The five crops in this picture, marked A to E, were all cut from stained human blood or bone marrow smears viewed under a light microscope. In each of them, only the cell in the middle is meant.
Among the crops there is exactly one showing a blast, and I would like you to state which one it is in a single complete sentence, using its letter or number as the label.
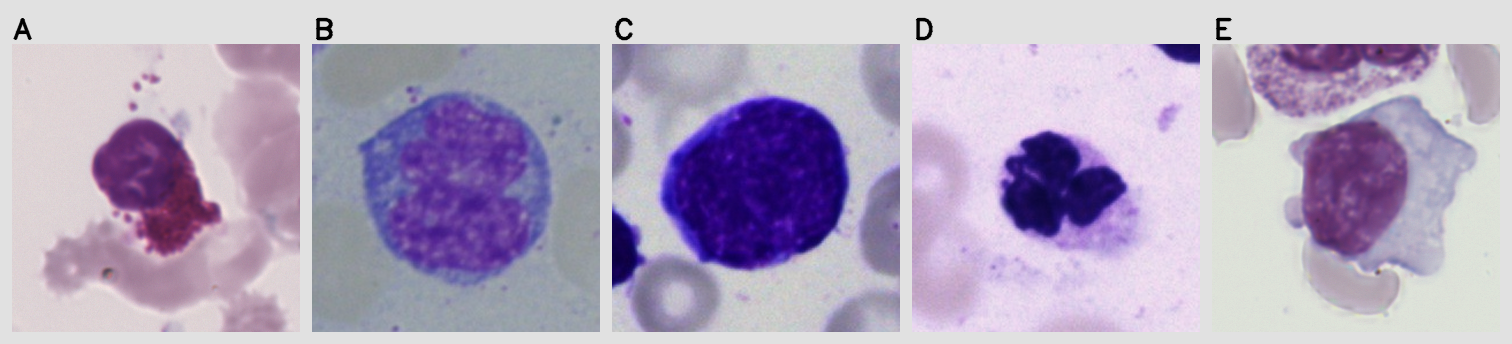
Crop C is the crop featuring a blast at its center.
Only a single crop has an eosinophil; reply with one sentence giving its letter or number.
Among all the crops given here, the one with an eosinophil is crop A.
